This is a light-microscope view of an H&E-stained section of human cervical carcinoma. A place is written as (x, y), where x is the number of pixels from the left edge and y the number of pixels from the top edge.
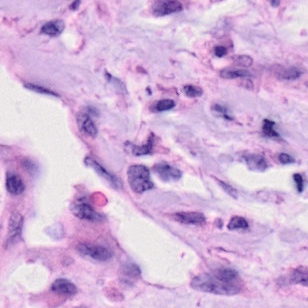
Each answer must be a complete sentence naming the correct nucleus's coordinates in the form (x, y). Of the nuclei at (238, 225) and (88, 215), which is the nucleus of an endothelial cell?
The nucleus at (88, 215) is the one of the two that belongs to an endothelial cell.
